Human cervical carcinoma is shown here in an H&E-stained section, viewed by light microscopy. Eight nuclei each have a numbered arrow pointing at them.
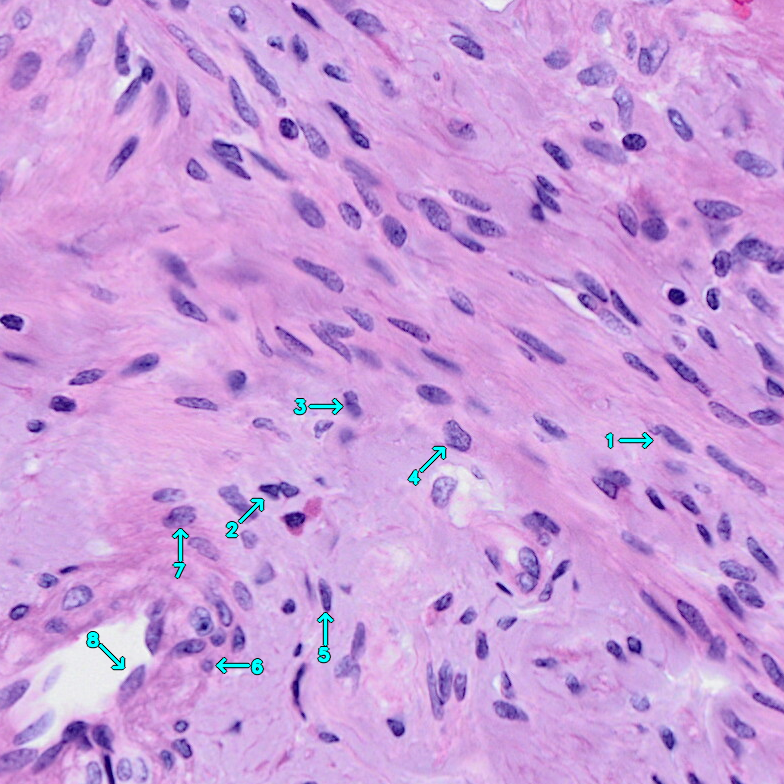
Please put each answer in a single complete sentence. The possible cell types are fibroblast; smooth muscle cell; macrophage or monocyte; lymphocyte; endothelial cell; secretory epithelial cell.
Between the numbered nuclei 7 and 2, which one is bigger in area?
Nucleus 7 covers more area, about 2.5 times as much as nucleus 2.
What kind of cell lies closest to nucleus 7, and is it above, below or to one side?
Just above and to the left of nucleus 7 lies the nearest nucleus, which belongs to a smooth muscle cell.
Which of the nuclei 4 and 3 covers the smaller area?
The smaller nucleus is 3, and 4 covers roughly 2 times its area.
